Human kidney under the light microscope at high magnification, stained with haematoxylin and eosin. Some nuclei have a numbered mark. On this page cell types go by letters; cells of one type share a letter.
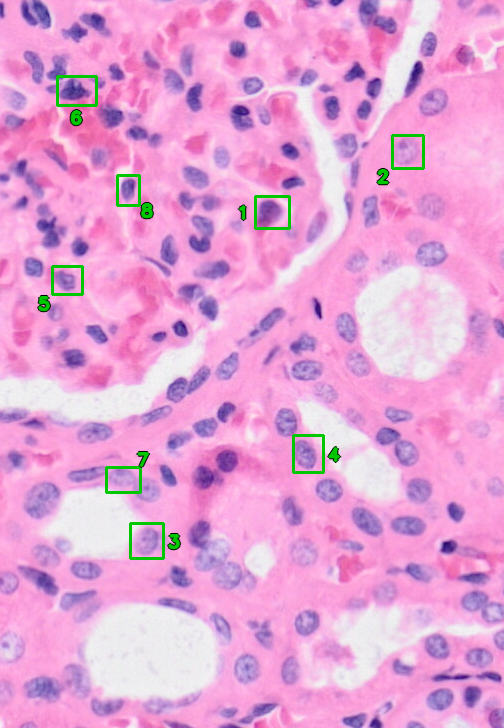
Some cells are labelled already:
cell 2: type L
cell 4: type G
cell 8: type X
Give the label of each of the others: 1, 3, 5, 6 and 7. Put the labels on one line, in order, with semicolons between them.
type X; type G; type X; type X; type G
